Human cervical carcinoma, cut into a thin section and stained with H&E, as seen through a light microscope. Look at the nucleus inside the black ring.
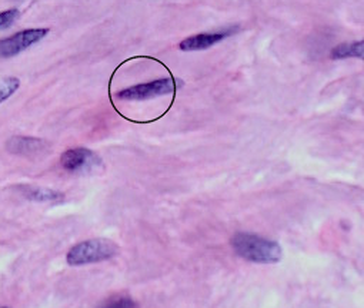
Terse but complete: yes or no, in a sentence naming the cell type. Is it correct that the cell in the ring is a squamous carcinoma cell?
No, the cell in the ring is typed as a fibroblast rather than as a squamous carcinoma cell.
